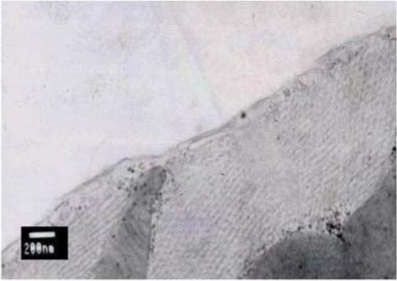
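Edge of a myocyte with a smooth surface membrane running diagonally across the field. Almost no vesicular caveolae are seen beneath the membrane. The cytoplasm shows a fine regular lattice of myofilaments with some darker granular material near the surface. A pale extracellular space lies above the membrane.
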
